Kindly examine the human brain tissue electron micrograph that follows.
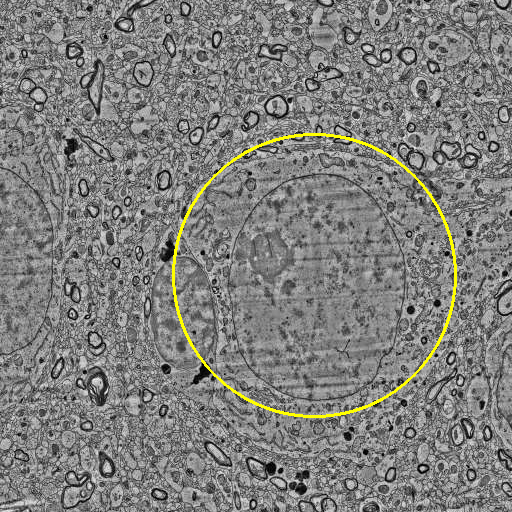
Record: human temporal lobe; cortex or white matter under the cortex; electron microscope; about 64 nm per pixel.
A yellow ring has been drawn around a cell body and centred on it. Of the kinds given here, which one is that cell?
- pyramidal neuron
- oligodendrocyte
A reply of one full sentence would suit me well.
The micrograph's ringed cell, the one at the ring's centre, is a pyramidal neuron.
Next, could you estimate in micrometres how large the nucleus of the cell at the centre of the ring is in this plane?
In this plane, roughly 14 by 11 micrometres.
